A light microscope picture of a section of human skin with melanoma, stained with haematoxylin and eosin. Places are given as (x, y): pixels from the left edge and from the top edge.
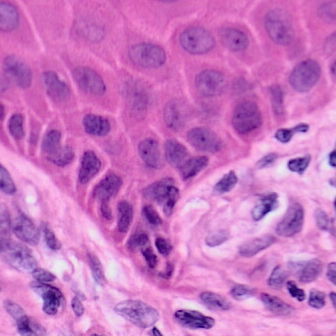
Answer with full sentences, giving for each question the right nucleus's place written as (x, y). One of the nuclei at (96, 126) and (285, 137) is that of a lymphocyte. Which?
The one nucleus of the two that belongs to a lymphocyte is at (285, 137).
